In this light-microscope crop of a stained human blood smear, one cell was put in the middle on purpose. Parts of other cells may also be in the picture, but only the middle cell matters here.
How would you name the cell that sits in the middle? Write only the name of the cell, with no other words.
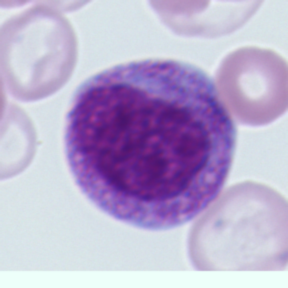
myelocyte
